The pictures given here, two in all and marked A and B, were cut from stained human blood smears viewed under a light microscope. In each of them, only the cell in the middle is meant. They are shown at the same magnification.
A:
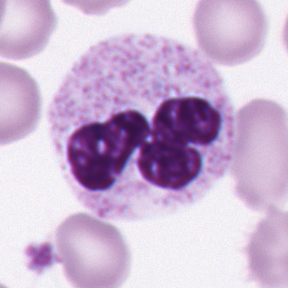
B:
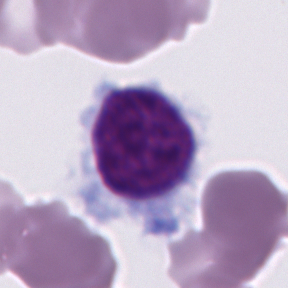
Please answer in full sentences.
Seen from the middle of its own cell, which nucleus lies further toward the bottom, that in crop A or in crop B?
It is the nucleus in crop A that lies further toward the bottom of its cell.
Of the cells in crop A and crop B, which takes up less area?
The cell in crop B is smaller; the one in crop A has about 2 times its area.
